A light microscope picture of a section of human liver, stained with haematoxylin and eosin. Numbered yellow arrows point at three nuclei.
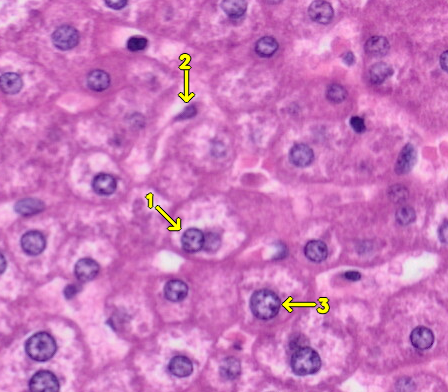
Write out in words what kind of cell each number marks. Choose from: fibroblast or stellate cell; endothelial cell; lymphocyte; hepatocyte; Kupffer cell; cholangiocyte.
Cell 1 is a hepatocyte, cell 2 is a Kupffer cell and cell 3 is a hepatocyte.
